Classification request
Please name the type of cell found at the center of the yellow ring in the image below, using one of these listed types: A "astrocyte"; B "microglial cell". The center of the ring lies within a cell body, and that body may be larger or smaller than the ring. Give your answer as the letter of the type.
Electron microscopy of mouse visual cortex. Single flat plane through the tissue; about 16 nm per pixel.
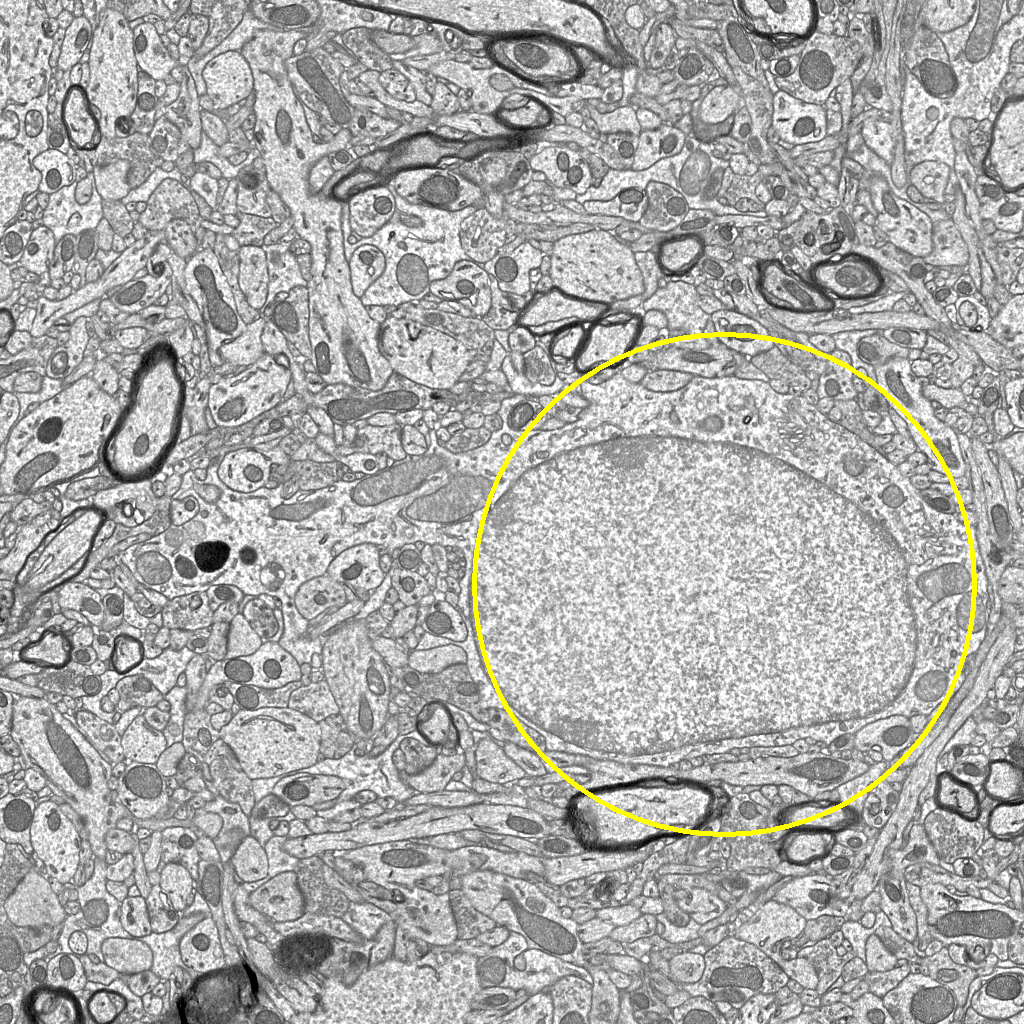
A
